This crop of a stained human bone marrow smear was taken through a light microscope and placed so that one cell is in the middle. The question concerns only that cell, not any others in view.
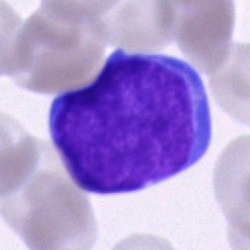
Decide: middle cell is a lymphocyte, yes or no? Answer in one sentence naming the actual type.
No, a lymphocyte is not what the central cell is; it is a blast.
